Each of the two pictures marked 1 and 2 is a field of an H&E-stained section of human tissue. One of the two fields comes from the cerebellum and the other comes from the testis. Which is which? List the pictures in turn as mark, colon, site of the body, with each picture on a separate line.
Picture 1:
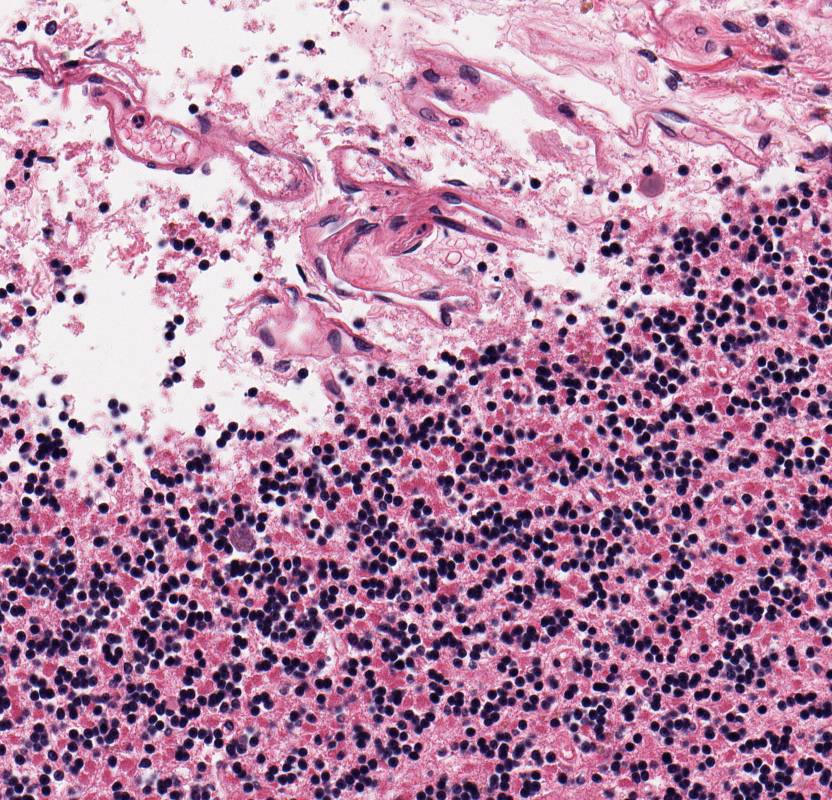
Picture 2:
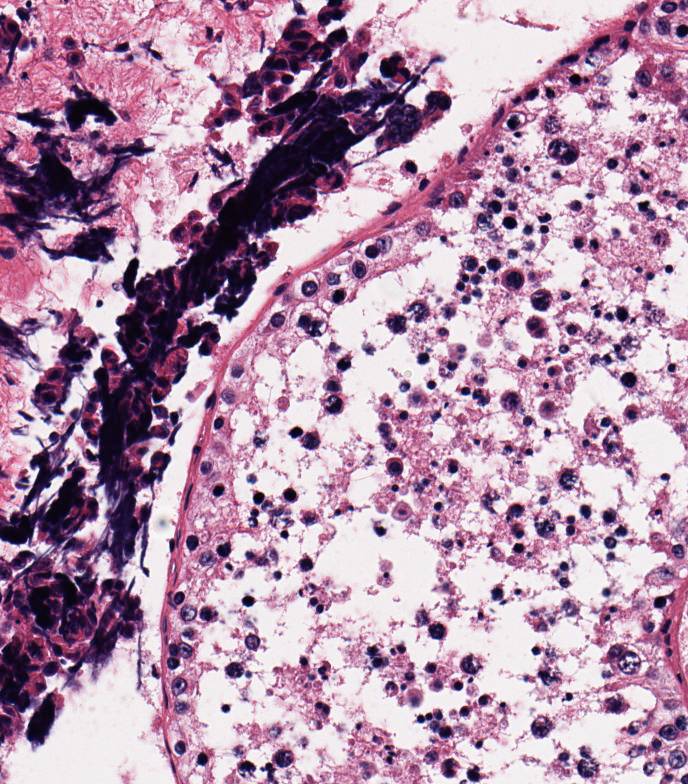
1: cerebellum
2: testis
